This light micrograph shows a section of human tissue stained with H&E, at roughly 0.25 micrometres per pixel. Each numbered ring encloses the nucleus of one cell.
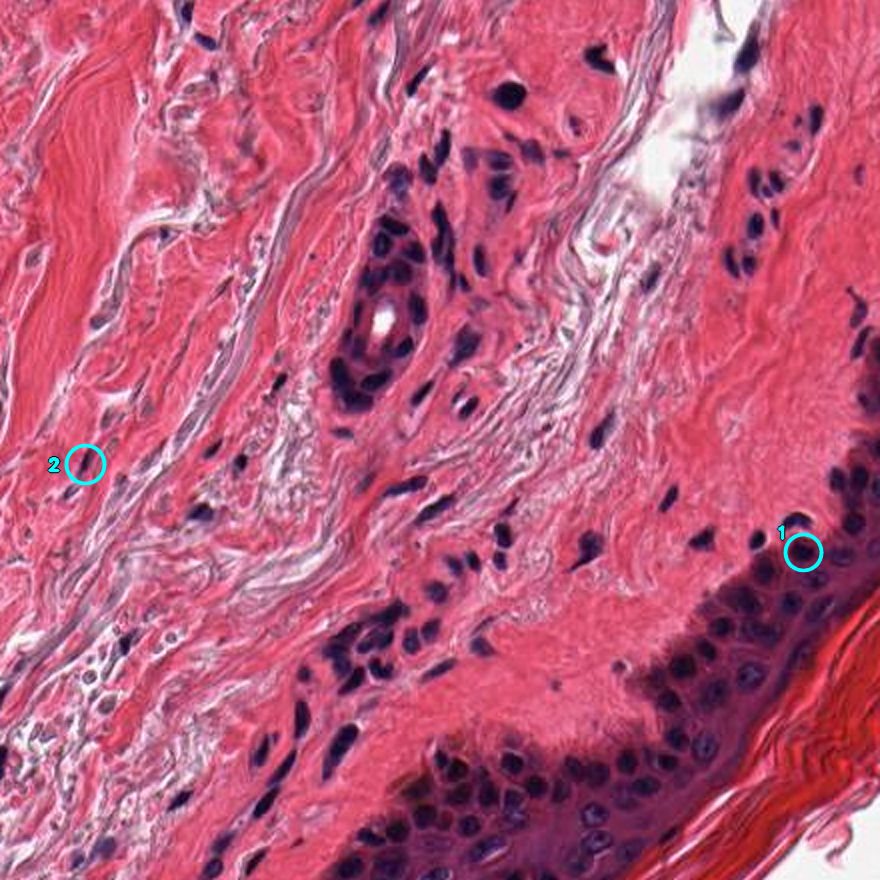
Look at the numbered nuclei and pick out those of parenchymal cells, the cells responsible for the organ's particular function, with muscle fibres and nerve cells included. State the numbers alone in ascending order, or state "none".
1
